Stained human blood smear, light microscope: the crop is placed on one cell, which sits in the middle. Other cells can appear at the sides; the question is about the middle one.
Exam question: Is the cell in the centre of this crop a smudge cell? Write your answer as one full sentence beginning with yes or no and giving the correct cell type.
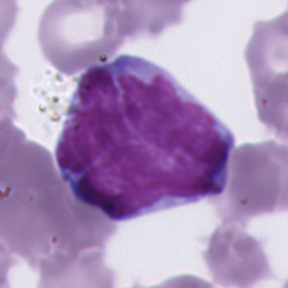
No, looking at the central cell, it is a myeloblast rather than a smudge cell.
